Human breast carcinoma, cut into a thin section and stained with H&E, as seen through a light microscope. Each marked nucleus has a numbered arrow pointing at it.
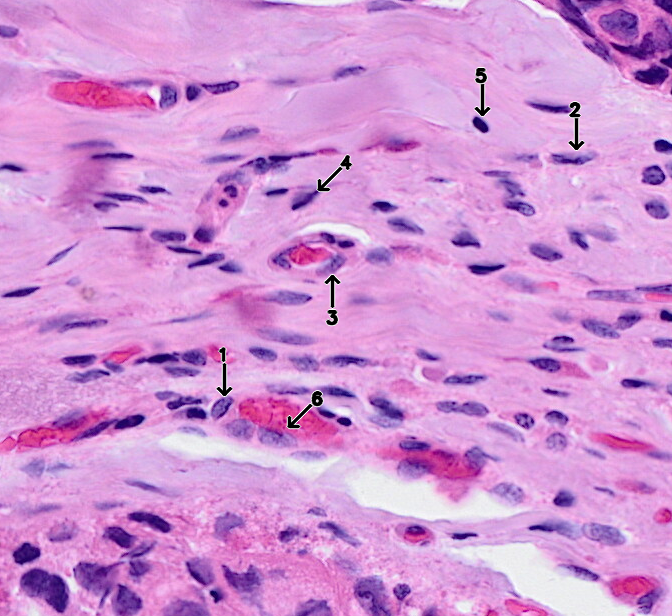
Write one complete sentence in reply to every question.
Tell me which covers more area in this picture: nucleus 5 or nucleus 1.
Nucleus 1 covers more area, about 1.5 times as much as nucleus 5.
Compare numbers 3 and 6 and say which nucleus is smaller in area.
Nucleus 3 is the smaller one; nucleus 6 covers about 1.5 times its area.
